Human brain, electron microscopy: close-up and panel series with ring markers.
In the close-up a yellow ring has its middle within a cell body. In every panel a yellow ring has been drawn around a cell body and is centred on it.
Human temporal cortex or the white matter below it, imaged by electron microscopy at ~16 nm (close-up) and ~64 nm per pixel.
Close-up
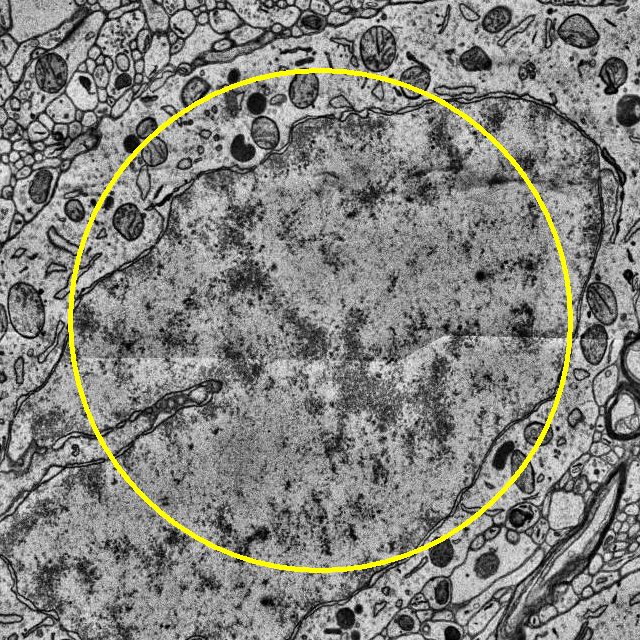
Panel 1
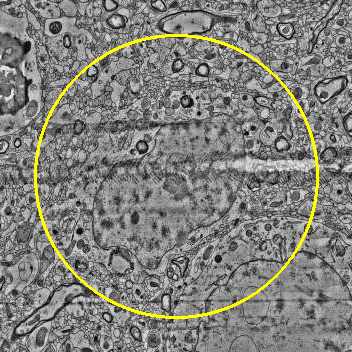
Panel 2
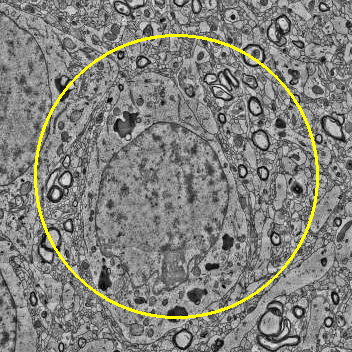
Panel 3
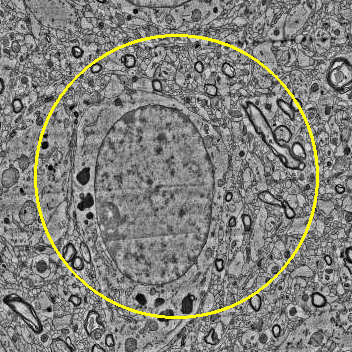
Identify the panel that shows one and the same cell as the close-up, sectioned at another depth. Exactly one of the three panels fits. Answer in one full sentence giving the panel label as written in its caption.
Enlarged in the close-up is the cell circled in Panel 1.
